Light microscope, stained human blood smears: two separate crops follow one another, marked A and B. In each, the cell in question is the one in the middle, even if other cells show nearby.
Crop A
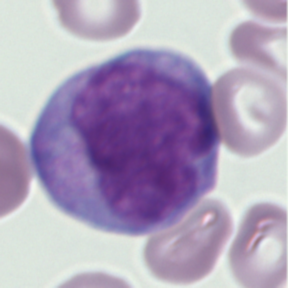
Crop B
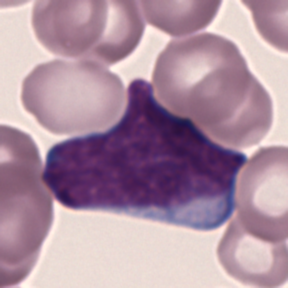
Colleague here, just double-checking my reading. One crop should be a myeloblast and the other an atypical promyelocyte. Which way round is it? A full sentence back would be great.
Crop A depicts an atypical promyelocyte, and crop B depicts a myeloblast.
